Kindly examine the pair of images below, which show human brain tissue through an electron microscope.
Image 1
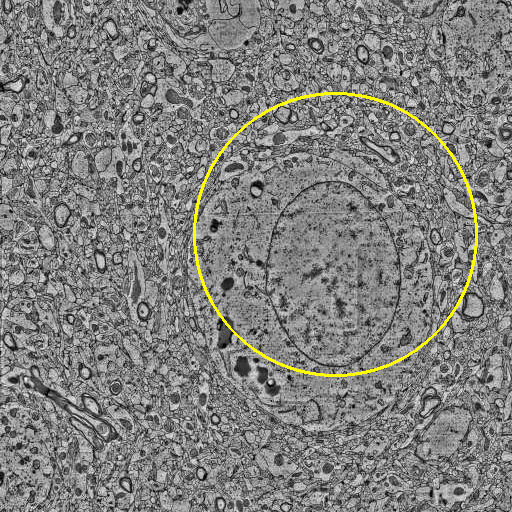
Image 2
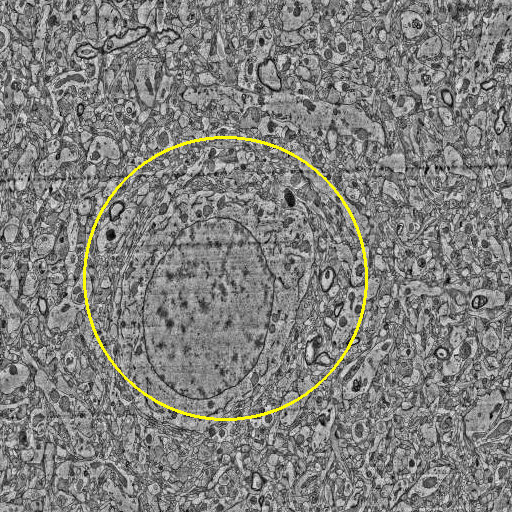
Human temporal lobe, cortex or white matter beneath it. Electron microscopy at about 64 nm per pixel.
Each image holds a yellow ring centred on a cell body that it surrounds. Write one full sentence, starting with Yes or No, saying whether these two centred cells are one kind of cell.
Yes, both cells at the centres of the yellow rings belong to one kind of cell.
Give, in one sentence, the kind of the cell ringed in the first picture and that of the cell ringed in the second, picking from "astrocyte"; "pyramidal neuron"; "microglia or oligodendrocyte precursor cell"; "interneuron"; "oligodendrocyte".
Both pictures show a pyramidal neuron at the centre of the ring.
